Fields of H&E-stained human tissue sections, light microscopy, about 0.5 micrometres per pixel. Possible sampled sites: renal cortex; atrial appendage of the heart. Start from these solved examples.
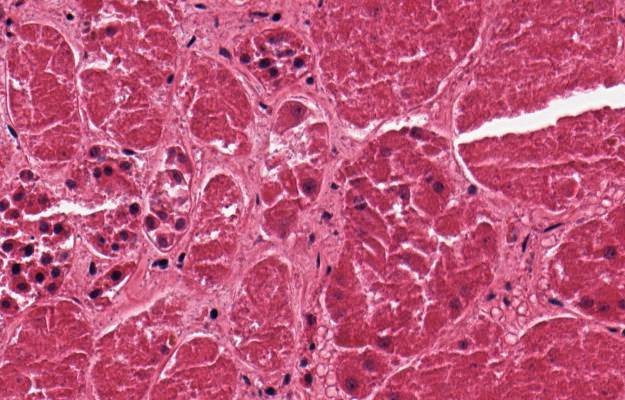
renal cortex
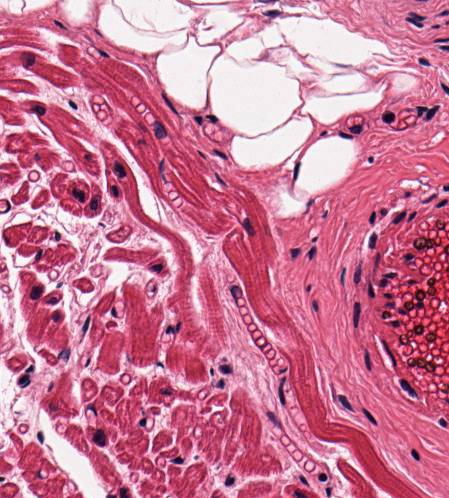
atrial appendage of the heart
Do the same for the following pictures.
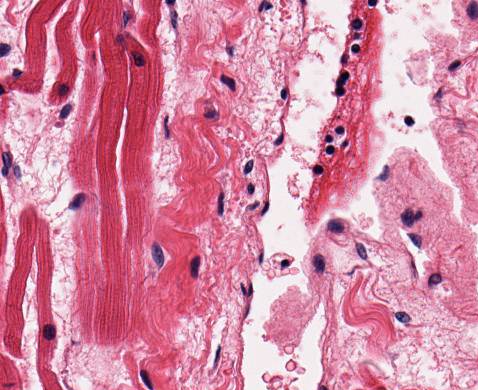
atrial appendage of the heart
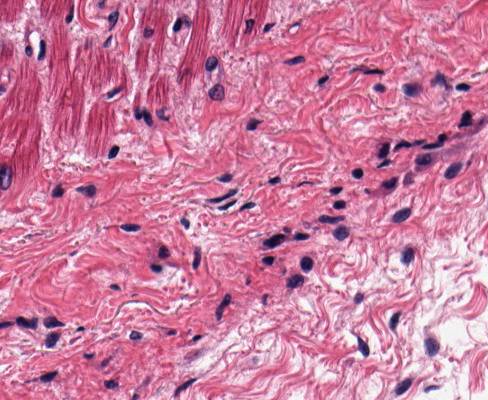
atrial appendage of the heart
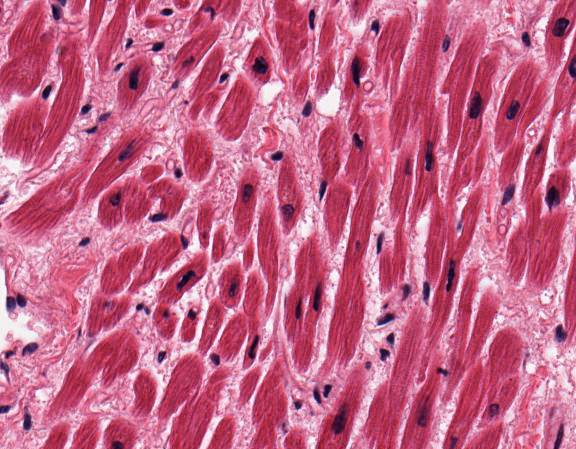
atrial appendage of the heart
